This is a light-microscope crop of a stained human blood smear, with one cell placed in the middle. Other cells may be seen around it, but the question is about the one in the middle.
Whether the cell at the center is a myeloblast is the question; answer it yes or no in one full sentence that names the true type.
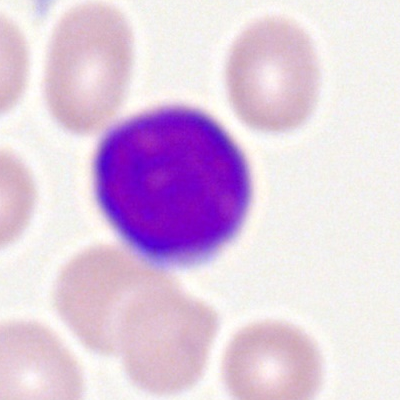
Yes, the cell in the center of this crop is a myeloblast.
